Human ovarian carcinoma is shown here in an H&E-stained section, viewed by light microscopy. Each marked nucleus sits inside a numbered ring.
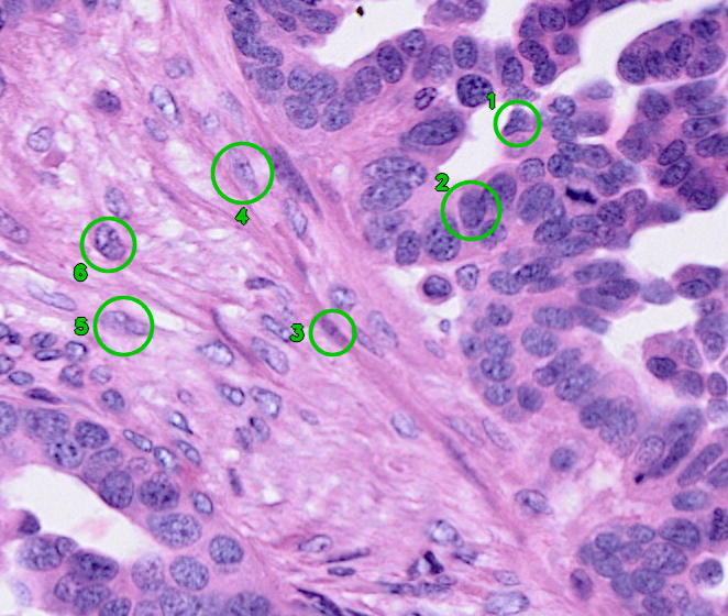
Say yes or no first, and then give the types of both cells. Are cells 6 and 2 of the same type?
No, cell 6 is a fibroblast, with cell 2 being a carcinoma cell.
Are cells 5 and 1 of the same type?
No, the correct reading has cell 5 as a fibroblast and cell 1 as a carcinoma cell.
